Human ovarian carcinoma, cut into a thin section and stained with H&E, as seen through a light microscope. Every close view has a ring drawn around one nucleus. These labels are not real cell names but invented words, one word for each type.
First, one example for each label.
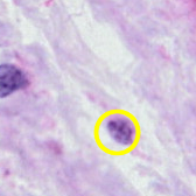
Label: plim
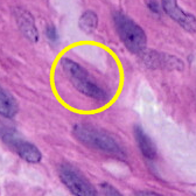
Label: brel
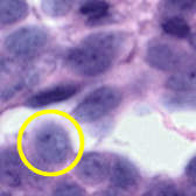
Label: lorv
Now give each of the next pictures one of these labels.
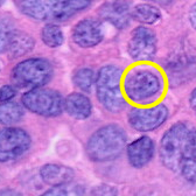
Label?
lorv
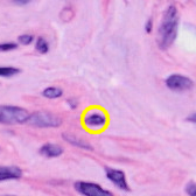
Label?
brel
